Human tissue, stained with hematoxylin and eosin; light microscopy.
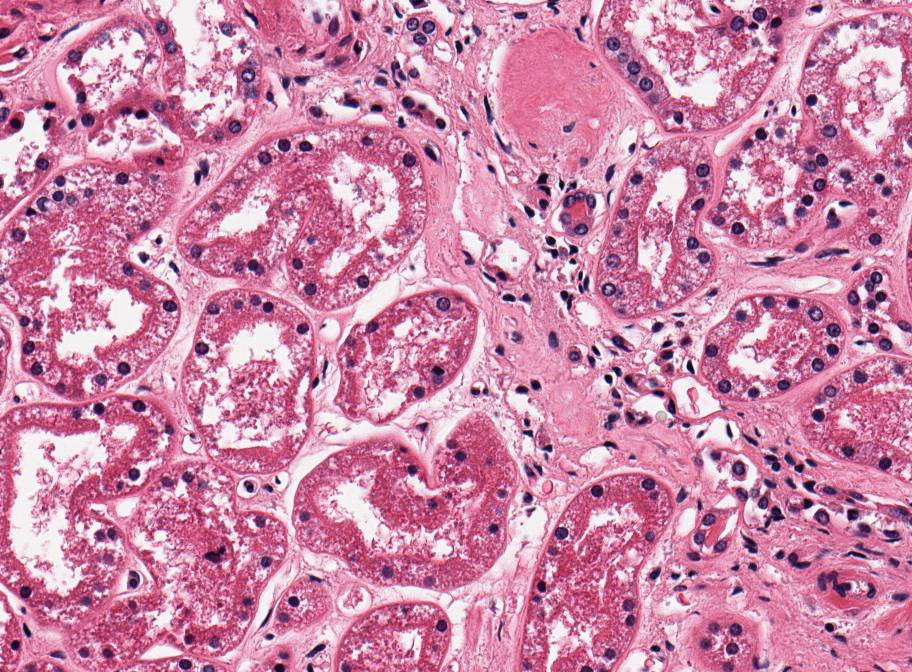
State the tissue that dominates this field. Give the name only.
cortical labyrinth of the kidney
